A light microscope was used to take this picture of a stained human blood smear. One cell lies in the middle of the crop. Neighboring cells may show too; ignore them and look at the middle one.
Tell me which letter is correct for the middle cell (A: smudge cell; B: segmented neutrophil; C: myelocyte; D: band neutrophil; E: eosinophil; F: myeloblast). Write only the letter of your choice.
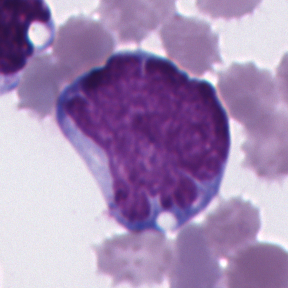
F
